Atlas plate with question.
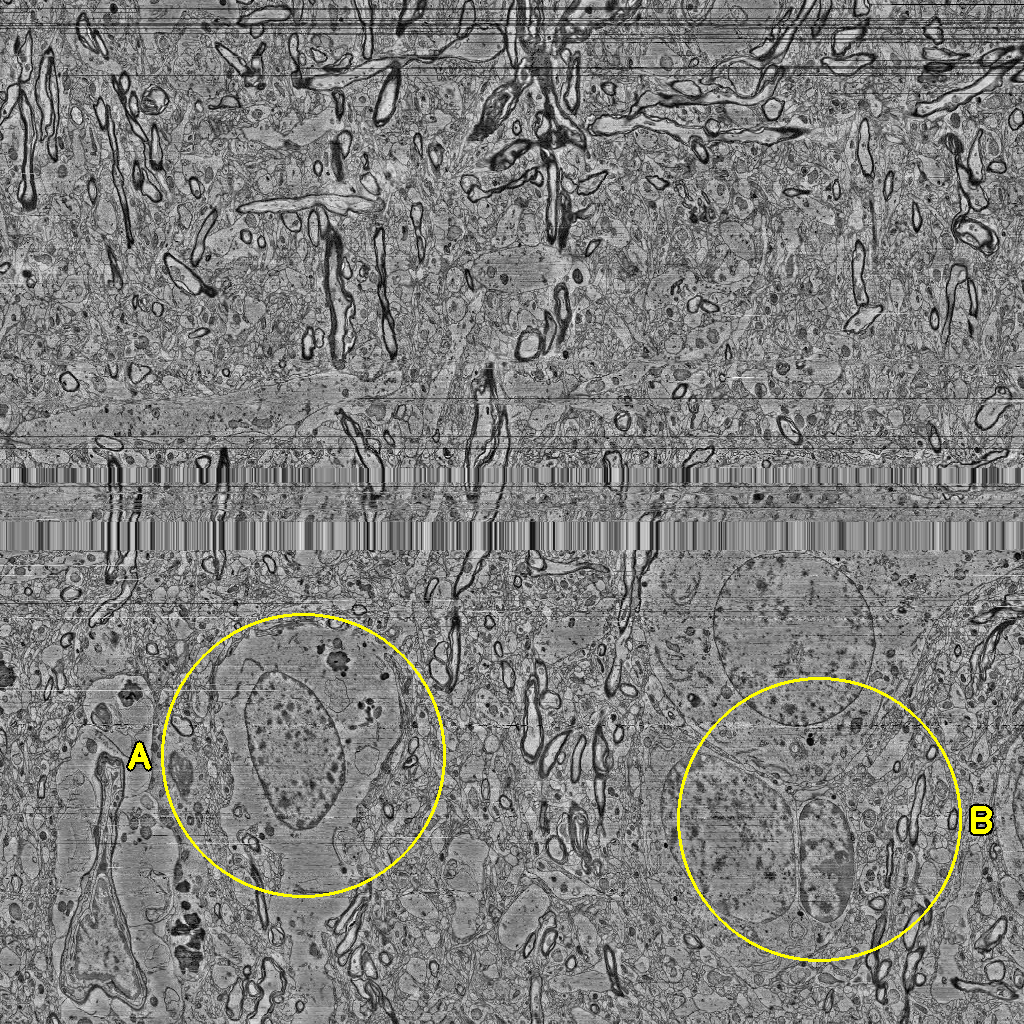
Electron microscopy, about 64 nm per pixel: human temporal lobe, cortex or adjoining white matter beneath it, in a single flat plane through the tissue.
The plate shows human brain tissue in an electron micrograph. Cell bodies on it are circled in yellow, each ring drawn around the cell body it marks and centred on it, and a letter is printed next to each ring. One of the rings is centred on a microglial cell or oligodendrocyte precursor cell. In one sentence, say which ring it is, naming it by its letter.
It is ring B.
